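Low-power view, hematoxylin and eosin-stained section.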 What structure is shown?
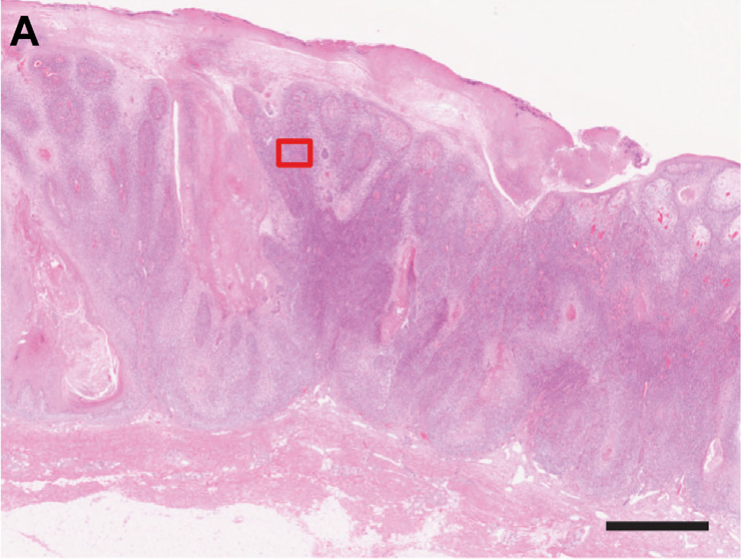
Nests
